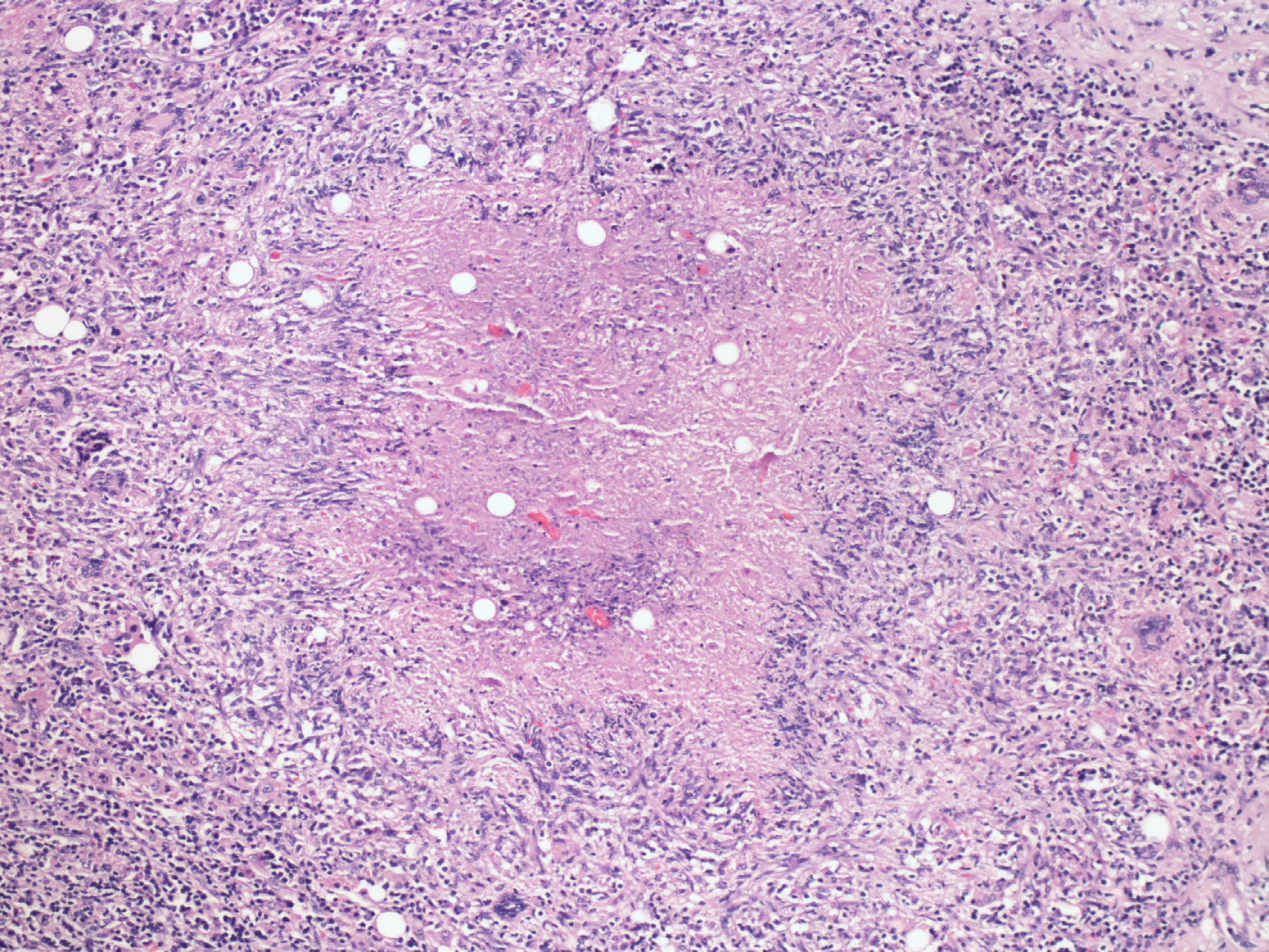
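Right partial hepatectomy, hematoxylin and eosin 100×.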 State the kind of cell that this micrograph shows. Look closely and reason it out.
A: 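Palisading histiocytes. Elongated cells with oval to spindle nuclei line the edge of the pink central zone. These cells are aligned roughly perpendicular to the edge of the central zone.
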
